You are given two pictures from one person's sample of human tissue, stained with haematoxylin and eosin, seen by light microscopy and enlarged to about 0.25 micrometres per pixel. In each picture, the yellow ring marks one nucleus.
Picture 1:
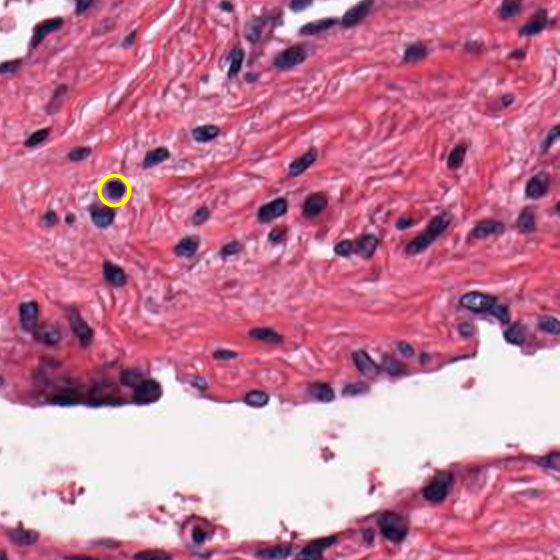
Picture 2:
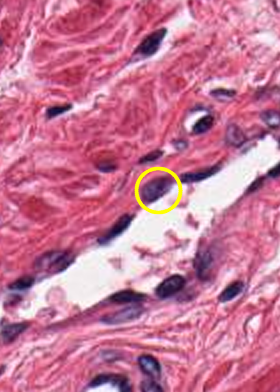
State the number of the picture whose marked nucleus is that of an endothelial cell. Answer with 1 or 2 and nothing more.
2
